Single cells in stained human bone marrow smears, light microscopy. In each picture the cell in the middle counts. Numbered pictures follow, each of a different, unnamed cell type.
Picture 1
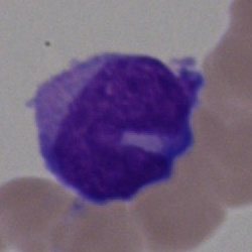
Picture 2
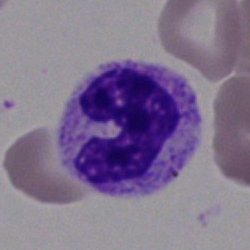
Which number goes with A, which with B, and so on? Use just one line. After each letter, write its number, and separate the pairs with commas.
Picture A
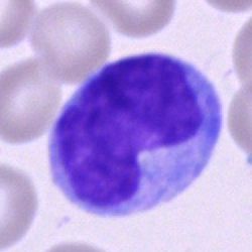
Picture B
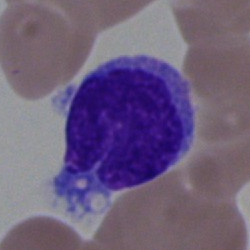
A 1, B 1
